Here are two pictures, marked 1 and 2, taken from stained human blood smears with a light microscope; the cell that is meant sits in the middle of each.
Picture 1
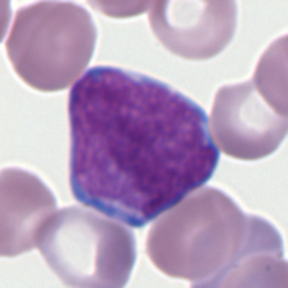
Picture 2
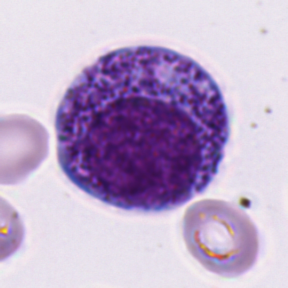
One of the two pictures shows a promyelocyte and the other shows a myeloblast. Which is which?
1: myeloblast
2: promyelocyte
